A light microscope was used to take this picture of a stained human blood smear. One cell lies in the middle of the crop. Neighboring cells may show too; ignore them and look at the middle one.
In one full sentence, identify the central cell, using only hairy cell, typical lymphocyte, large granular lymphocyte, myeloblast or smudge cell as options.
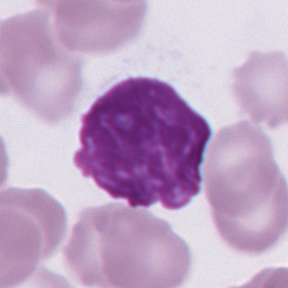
The cell at the central position in this crop is a smudge cell.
